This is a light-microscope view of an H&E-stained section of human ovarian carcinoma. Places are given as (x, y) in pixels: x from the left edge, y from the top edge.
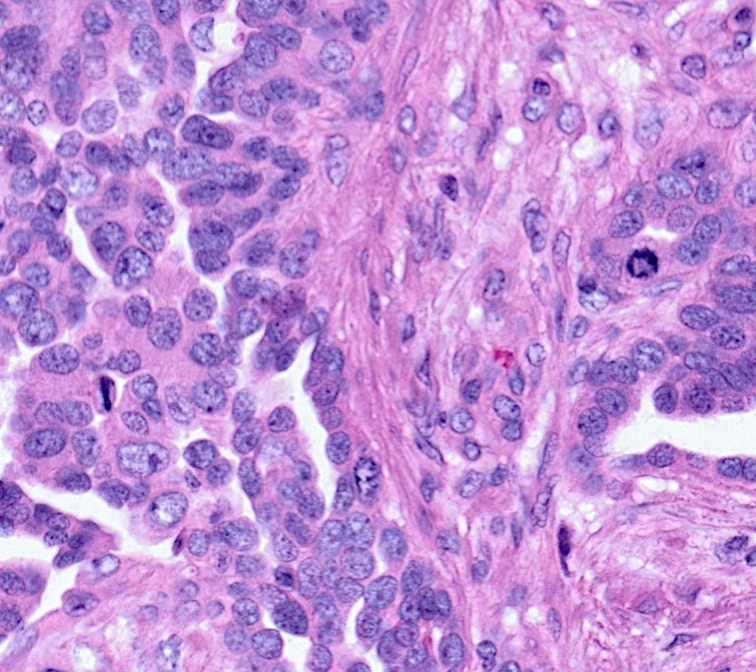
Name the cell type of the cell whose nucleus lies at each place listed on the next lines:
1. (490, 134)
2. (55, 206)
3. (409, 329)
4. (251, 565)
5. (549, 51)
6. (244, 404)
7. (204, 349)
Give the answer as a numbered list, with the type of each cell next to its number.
1. fibroblast
2. carcinoma cell
3. fibroblast
4. carcinoma cell
5. fibroblast
6. carcinoma cell
7. carcinoma cell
